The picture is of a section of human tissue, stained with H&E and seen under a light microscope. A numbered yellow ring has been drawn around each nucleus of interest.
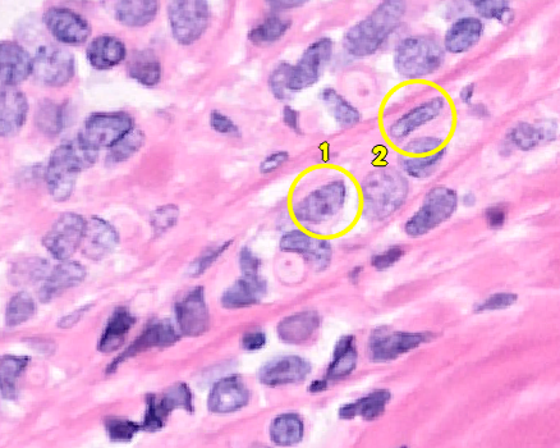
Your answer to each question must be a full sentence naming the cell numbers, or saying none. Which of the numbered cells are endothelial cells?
Cell 2 is an endothelial cell, and that holds for no other numbered cell.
